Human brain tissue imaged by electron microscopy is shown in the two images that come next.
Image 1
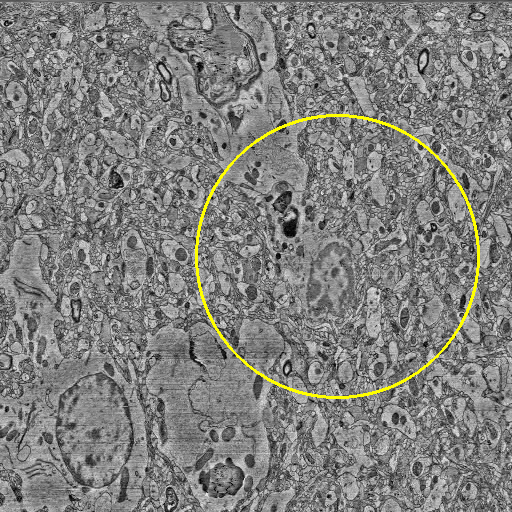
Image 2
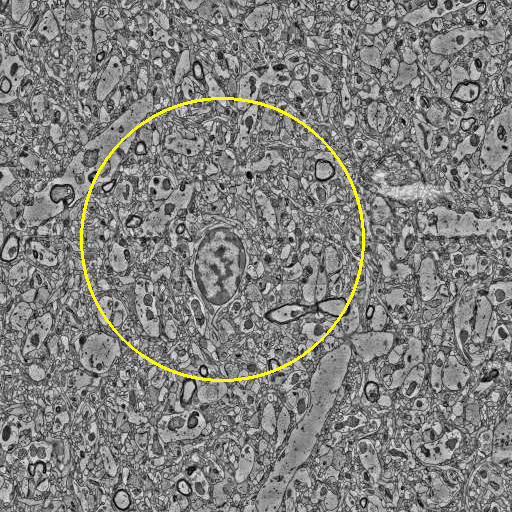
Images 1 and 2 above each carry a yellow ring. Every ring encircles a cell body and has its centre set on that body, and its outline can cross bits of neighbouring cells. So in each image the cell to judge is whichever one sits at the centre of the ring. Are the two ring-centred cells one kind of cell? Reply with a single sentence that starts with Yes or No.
No, in Image 1 and Image 2 the cells at the centres of their rings fall into two types.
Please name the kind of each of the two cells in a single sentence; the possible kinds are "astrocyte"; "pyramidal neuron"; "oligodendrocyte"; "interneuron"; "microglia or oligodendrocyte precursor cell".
In the first picture the ring is centred on an oligodendrocyte, and in the second on a microglial cell or oligodendrocyte precursor cell.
